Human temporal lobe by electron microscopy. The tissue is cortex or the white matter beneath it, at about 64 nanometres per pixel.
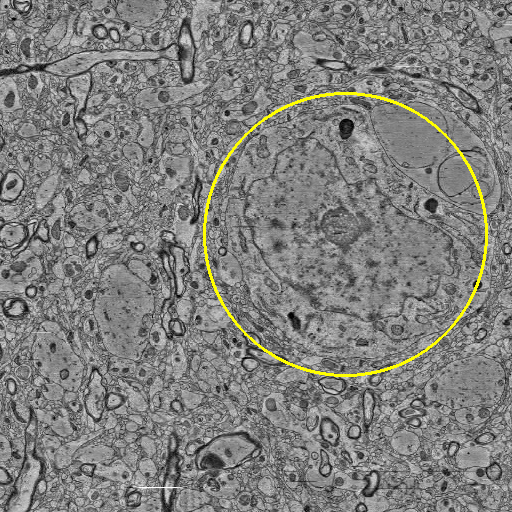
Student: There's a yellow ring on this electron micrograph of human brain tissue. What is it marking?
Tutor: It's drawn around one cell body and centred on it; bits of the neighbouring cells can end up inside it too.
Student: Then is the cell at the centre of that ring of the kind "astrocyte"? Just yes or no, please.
no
